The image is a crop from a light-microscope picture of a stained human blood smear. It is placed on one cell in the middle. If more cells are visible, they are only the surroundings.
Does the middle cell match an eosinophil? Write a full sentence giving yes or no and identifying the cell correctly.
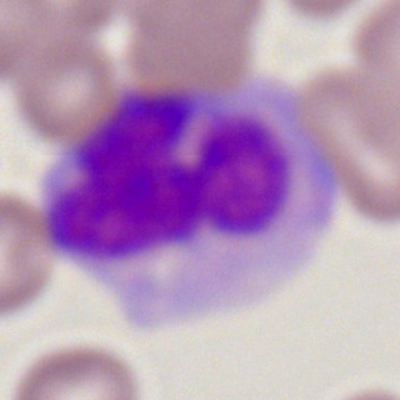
No, what sits in the centre of the crop is a monocyte rather than an eosinophil.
